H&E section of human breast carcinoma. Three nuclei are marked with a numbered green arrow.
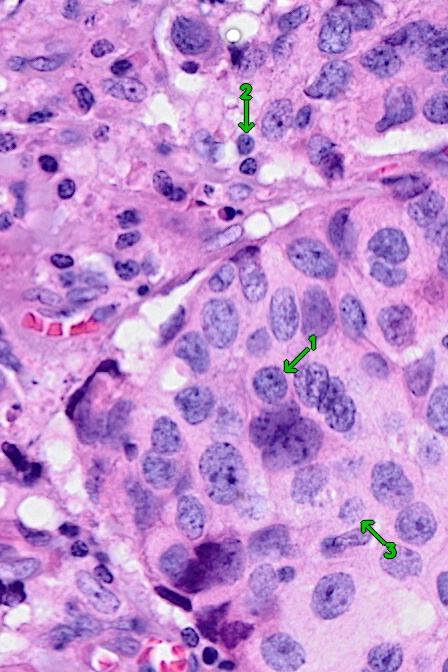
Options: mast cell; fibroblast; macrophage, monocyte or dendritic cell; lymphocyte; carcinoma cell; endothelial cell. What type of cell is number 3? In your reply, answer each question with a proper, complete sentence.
The nucleus labeled 3 belongs to a carcinoma cell.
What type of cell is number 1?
Number 1 is placed on a carcinoma cell here.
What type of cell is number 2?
The cell assigned the number 2 is a lymphocyte.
